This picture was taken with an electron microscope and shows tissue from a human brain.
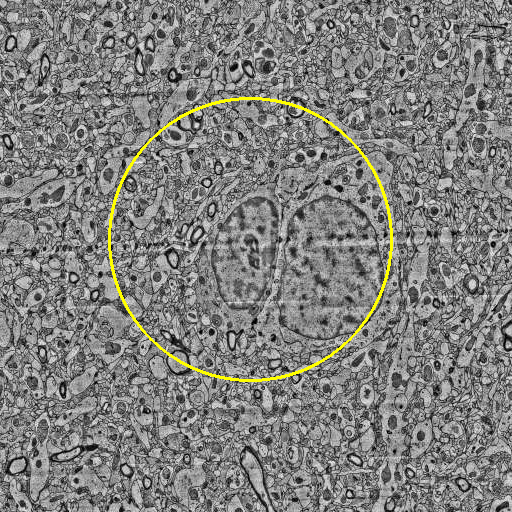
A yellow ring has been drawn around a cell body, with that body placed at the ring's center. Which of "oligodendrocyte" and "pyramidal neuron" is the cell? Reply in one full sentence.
In this picture, an oligodendrocyte is the cell at the center of the yellow ring.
